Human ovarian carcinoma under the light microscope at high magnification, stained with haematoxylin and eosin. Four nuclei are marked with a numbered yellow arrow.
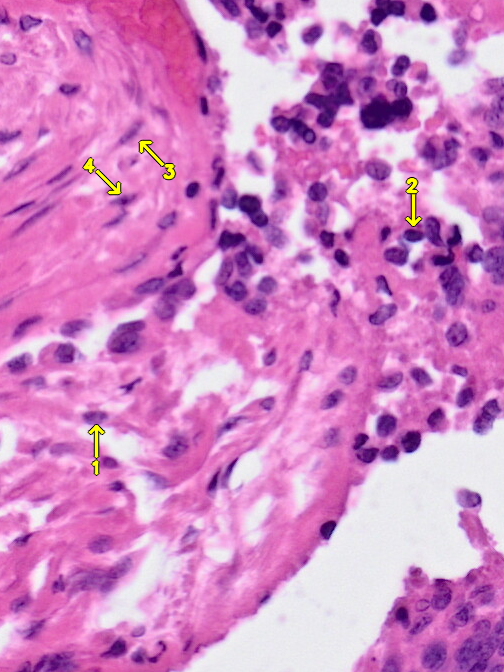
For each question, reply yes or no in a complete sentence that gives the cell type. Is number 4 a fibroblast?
Yes, the cell carrying number 4 is a fibroblast.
